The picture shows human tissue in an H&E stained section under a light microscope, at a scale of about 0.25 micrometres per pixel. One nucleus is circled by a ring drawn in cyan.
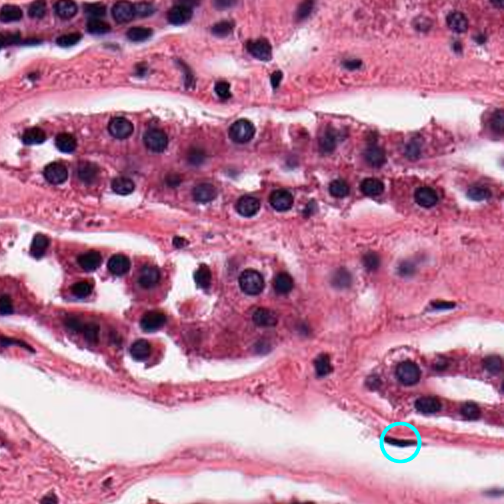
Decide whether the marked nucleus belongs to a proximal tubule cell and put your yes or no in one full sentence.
No, rather than to a proximal tubule cell, the marked nucleus belongs to a supporting cell.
